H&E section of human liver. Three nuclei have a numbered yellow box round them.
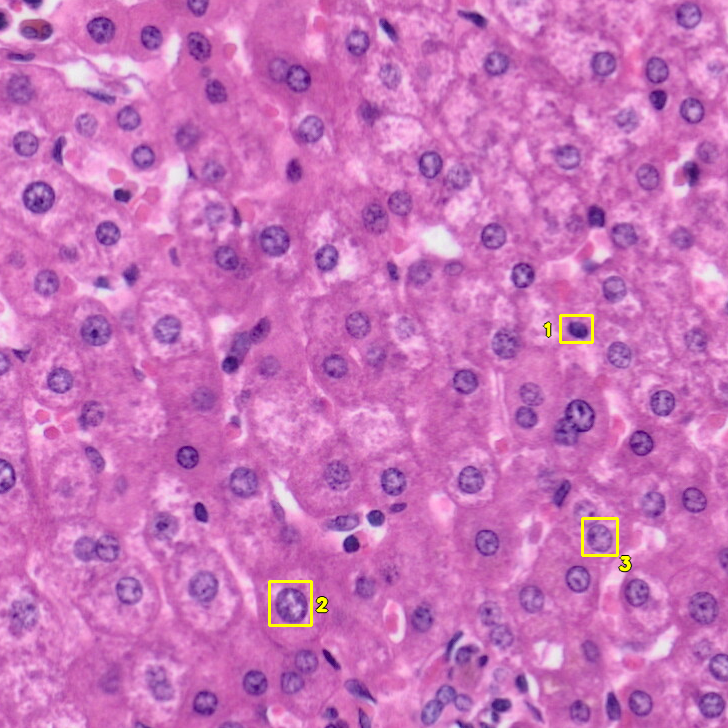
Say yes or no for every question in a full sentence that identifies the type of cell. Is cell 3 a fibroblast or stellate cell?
No, cell 3 is to be read as a hepatocyte, not a fibroblast or stellate cell.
